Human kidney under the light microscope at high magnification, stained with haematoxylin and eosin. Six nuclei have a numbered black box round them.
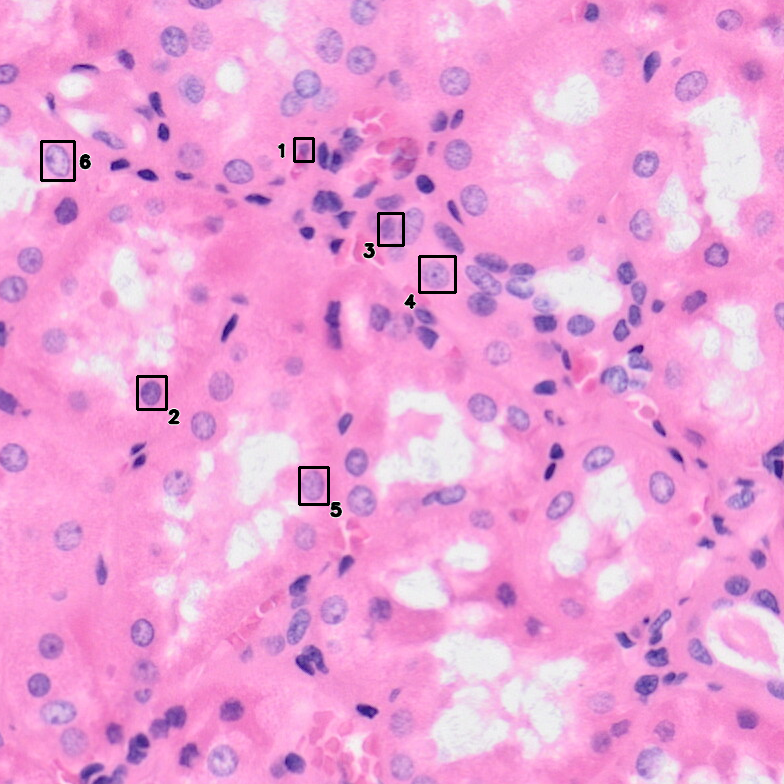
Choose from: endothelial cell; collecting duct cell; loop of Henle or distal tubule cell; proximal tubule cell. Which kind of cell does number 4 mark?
collecting duct cell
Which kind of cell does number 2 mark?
proximal tubule cell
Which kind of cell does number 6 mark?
proximal tubule cell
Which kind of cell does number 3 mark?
collecting duct cell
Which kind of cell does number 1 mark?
endothelial cell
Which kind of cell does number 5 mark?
proximal tubule cell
